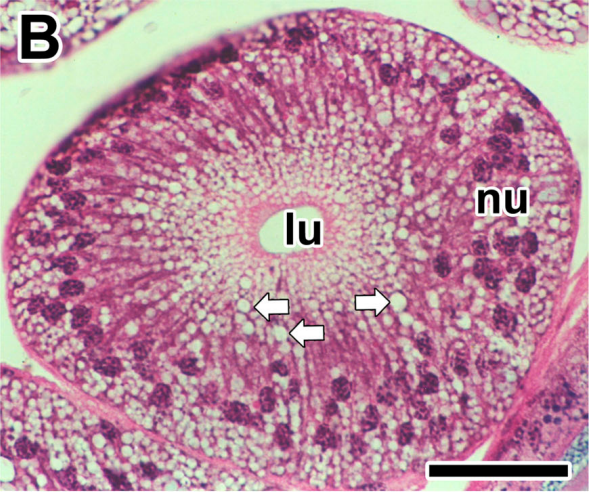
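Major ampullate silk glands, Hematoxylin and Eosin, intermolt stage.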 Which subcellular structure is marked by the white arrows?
Secretory granules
